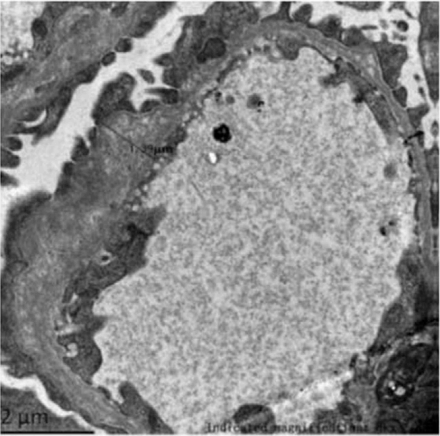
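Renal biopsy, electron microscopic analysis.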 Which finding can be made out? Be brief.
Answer: Thickening of the glomerular basement membrane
